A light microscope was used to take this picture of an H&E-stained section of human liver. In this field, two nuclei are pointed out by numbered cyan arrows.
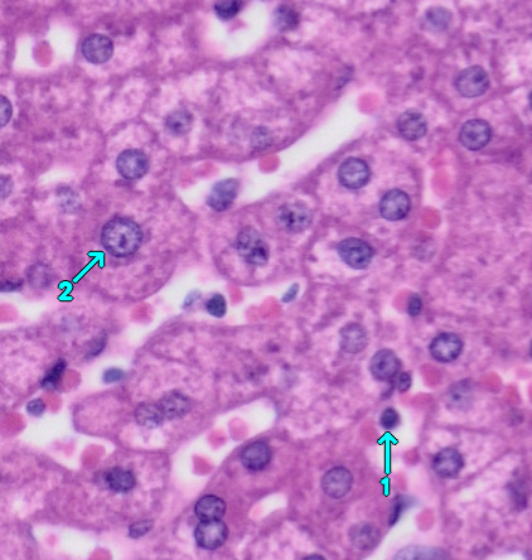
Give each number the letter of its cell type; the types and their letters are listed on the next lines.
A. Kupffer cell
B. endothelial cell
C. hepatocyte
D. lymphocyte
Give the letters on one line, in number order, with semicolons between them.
D; C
